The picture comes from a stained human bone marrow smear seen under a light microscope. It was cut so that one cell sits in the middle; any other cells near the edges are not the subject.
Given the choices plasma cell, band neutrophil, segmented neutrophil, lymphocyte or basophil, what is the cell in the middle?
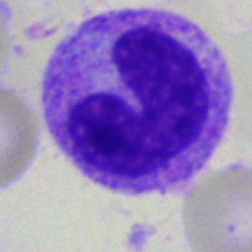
band neutrophil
